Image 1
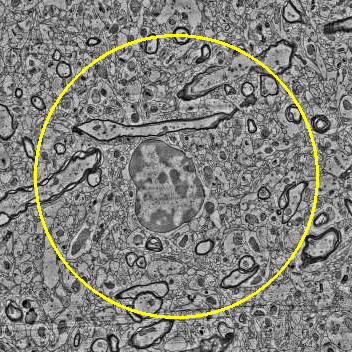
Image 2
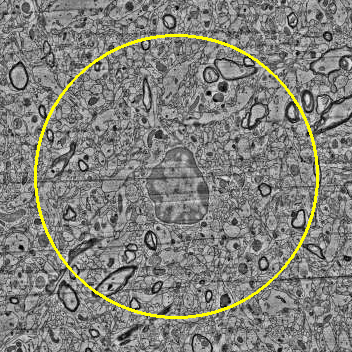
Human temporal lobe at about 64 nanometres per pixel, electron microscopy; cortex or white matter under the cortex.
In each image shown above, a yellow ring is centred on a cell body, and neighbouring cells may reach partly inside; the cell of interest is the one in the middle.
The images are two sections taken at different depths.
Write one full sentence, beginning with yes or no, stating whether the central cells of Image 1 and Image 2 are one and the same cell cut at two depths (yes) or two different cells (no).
Yes, one cell accounts for both of the yellow rings.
